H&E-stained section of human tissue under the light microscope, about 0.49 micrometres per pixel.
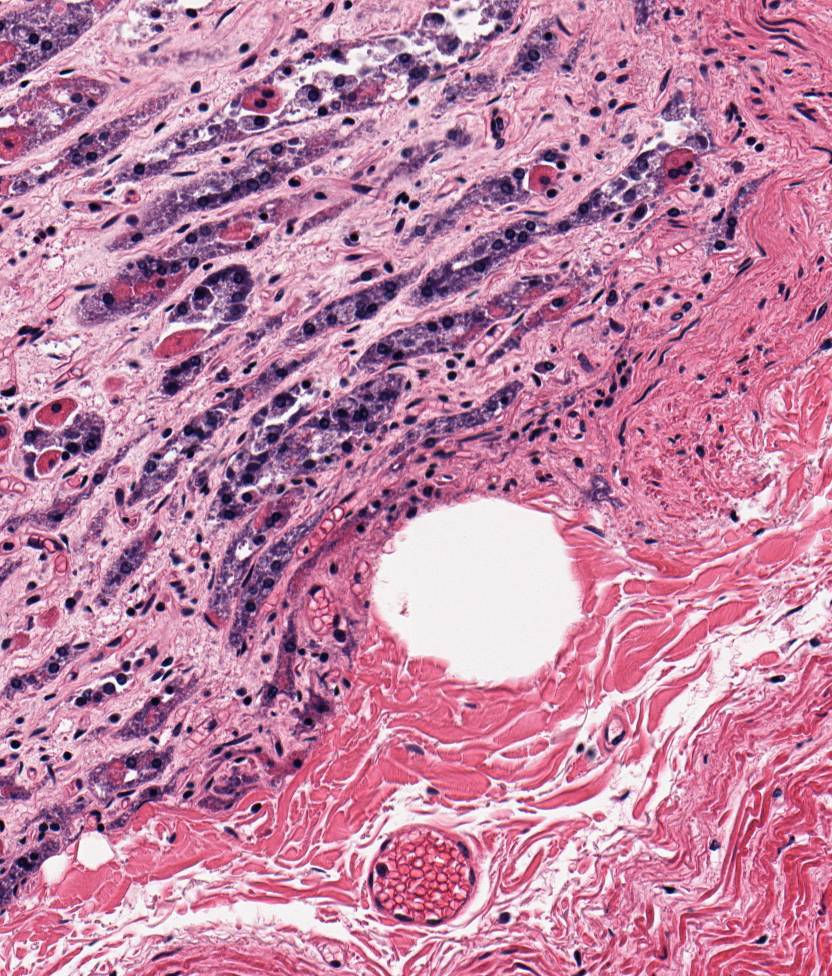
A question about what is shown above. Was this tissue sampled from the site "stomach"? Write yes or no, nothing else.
yes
